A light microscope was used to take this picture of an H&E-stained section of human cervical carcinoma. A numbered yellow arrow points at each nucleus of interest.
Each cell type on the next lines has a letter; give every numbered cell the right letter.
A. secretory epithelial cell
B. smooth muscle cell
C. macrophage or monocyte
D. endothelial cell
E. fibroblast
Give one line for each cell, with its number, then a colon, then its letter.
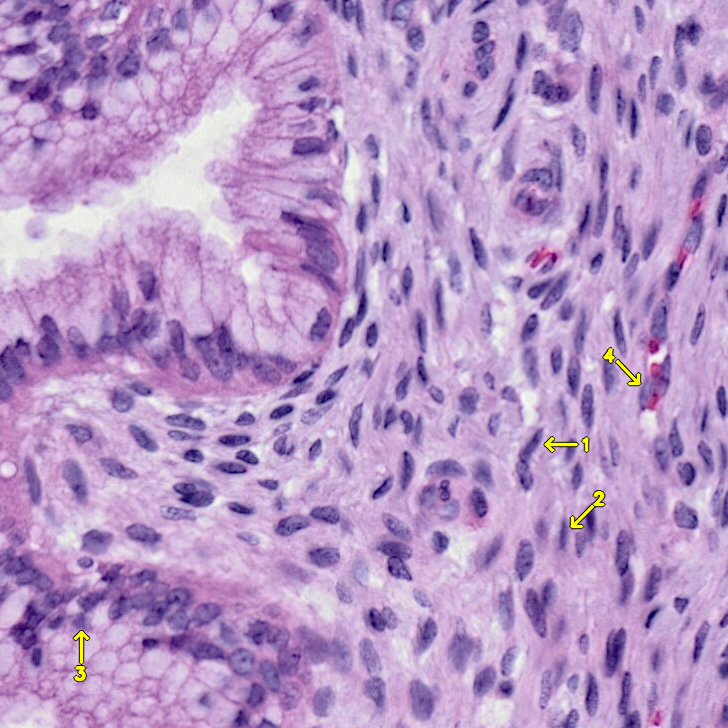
1: E
2: E
3: A
4: D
